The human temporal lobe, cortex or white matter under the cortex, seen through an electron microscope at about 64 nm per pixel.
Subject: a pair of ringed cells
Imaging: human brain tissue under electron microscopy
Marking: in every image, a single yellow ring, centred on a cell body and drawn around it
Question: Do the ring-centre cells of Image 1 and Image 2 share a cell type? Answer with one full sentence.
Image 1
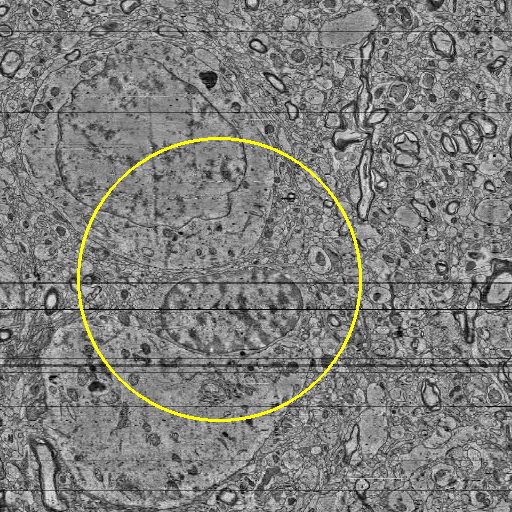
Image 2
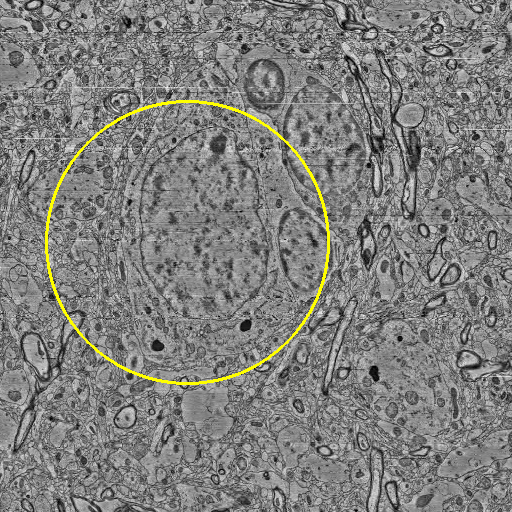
No, at the ring centres in the images sit cells of two separate types.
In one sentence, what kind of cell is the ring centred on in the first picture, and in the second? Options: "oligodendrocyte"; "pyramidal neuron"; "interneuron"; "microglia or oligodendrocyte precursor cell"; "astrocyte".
The cell at the centre of the second ring is an interneuron; the first ring's cell is an oligodendrocyte.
